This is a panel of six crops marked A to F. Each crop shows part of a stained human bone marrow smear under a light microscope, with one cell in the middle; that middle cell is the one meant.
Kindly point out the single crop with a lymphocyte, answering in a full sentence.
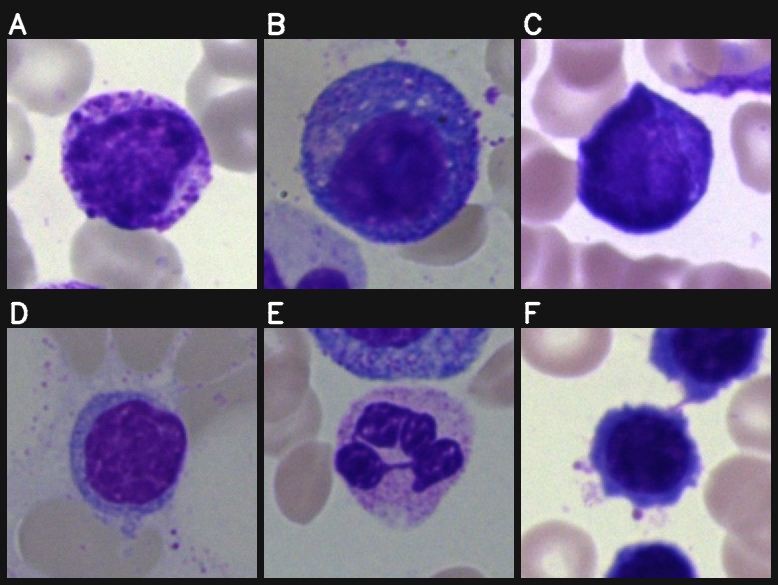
The one crop that shows a lymphocyte is crop D.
